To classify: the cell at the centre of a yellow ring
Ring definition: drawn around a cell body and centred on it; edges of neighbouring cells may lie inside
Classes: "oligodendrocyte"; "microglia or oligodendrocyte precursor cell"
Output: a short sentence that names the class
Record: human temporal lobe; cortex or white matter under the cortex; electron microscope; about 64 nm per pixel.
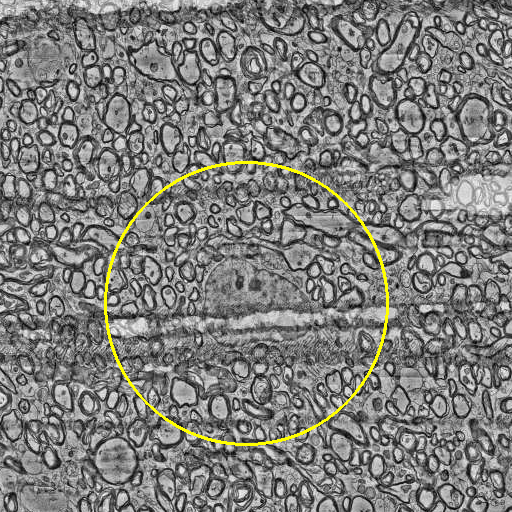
The ringed cell is a microglial cell or oligodendrocyte precursor cell.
